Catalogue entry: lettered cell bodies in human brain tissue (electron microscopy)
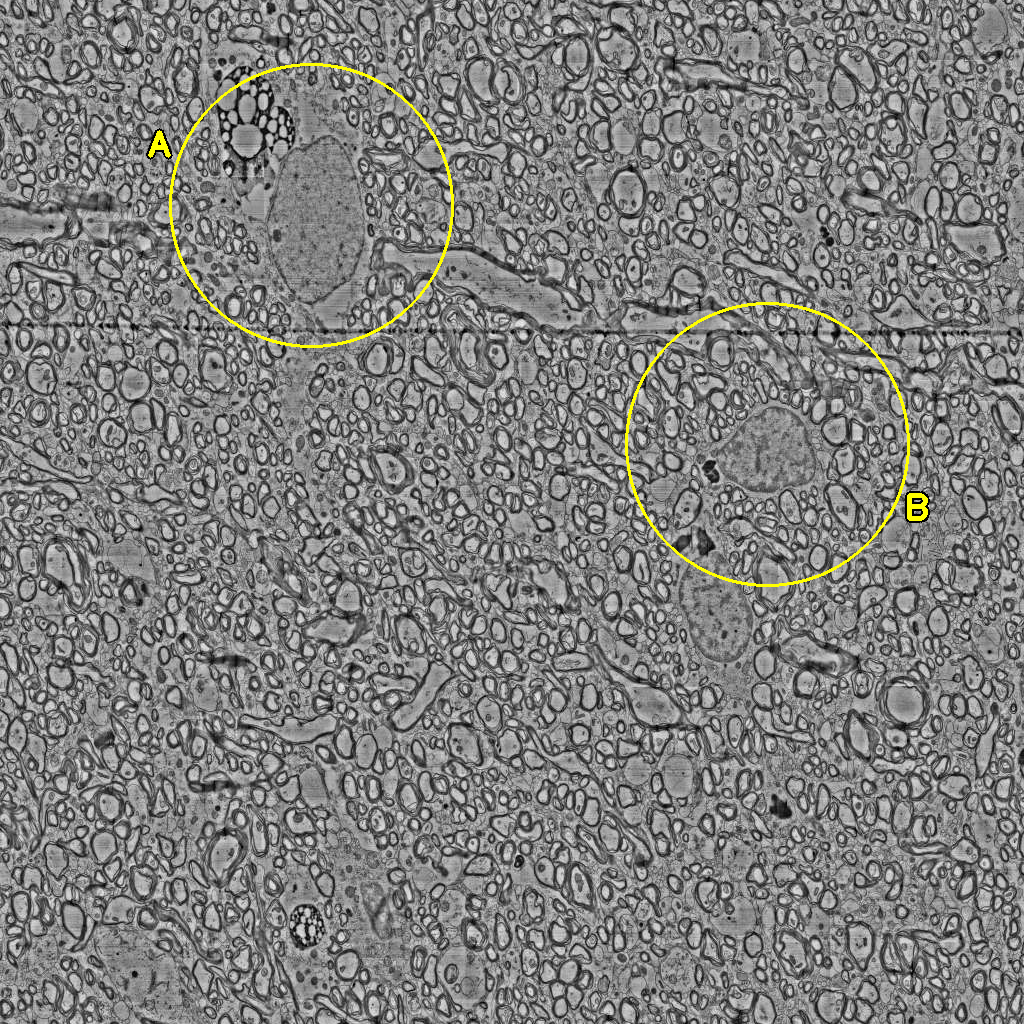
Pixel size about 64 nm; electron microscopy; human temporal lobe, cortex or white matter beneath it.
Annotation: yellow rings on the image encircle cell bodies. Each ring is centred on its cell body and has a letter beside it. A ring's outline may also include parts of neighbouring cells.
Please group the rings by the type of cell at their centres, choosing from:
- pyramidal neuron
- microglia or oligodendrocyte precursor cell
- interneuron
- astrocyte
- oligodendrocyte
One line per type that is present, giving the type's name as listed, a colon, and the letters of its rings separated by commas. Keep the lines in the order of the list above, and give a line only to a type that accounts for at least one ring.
astrocyte: A
oligodendrocyte: B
